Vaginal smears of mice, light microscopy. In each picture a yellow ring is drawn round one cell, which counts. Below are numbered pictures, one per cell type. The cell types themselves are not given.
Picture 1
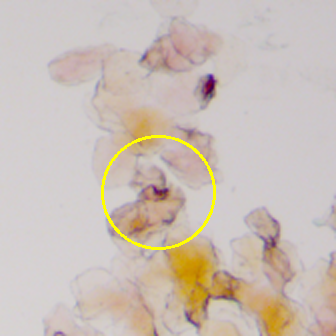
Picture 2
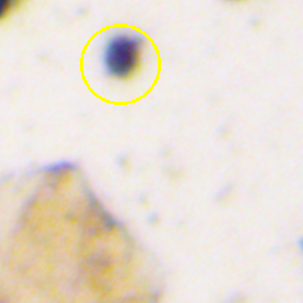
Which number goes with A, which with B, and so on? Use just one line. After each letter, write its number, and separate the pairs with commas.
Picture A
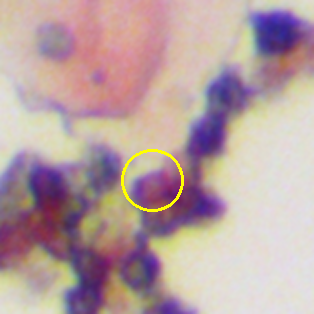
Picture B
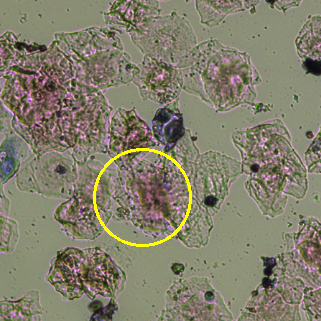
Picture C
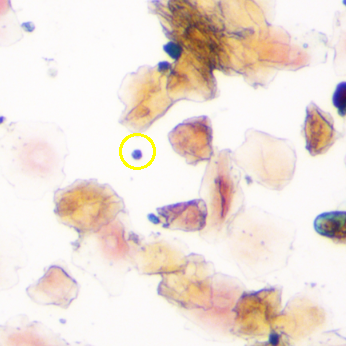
A 2, B 1, C 2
